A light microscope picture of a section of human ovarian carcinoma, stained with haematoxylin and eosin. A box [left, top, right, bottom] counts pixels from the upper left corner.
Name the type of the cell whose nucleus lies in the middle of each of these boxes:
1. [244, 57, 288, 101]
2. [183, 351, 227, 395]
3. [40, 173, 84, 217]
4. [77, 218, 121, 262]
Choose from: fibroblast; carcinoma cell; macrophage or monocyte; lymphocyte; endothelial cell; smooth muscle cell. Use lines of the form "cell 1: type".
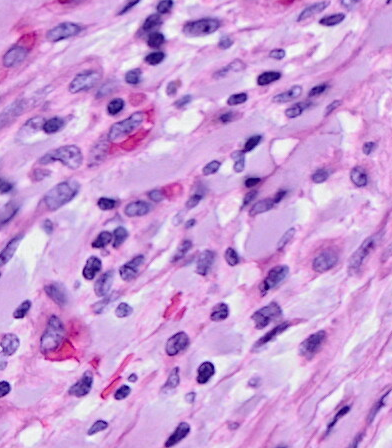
cell 1: lymphocyte
cell 2: lymphocyte
cell 3: fibroblast
cell 4: lymphocyte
